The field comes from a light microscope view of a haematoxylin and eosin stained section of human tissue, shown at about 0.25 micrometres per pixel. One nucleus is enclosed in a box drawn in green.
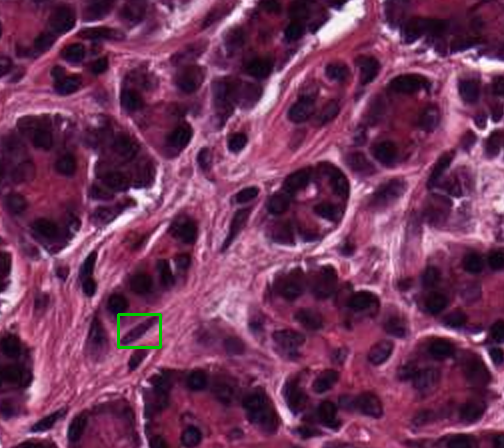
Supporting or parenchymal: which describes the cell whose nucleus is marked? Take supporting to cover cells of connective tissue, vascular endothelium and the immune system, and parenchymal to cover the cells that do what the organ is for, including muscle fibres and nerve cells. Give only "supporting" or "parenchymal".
supporting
